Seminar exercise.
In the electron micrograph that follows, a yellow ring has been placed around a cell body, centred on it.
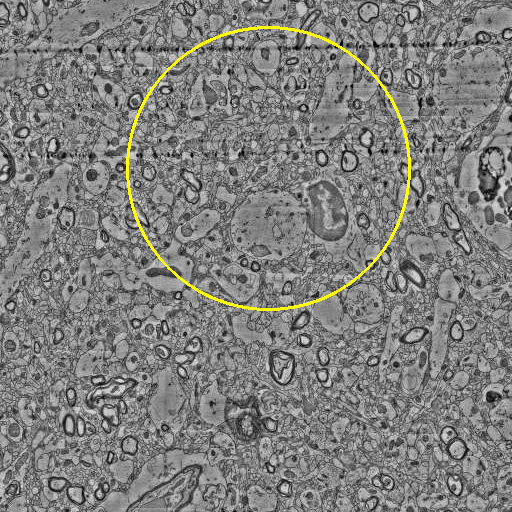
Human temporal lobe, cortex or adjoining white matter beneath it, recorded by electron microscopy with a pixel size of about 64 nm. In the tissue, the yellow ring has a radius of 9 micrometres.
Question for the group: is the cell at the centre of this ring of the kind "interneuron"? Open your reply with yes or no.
No, the cell in the ring's centre is of another kind.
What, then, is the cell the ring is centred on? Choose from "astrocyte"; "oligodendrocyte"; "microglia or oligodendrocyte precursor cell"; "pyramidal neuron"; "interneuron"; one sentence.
The cell this ring marks is a microglial cell or oligodendrocyte precursor cell.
